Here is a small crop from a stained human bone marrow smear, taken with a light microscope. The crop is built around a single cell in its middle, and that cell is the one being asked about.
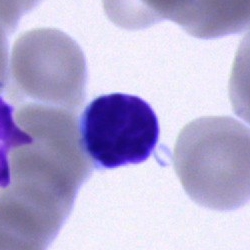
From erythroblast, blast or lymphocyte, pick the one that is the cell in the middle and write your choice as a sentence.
The centrally positioned cell in the crop represents a lymphocyte.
